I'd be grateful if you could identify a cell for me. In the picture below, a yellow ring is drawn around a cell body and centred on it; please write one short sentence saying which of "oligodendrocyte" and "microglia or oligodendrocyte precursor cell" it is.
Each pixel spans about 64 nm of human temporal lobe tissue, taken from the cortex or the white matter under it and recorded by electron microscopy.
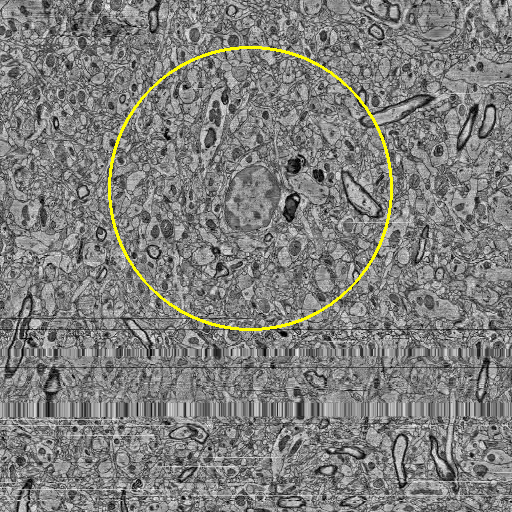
The cell under the ring's centre is a microglial cell or oligodendrocyte precursor cell.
